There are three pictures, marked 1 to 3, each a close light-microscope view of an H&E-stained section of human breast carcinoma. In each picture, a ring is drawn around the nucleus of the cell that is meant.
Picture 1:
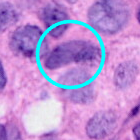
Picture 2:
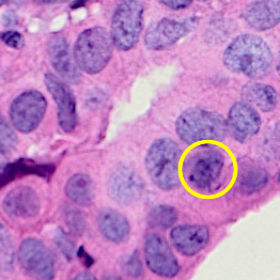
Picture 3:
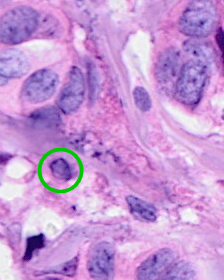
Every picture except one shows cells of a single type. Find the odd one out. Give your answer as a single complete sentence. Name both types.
Picture 3 is the odd one out: it shows a “macrophage, monocyte or dendritic cell”, while the others show carcinoma cells.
